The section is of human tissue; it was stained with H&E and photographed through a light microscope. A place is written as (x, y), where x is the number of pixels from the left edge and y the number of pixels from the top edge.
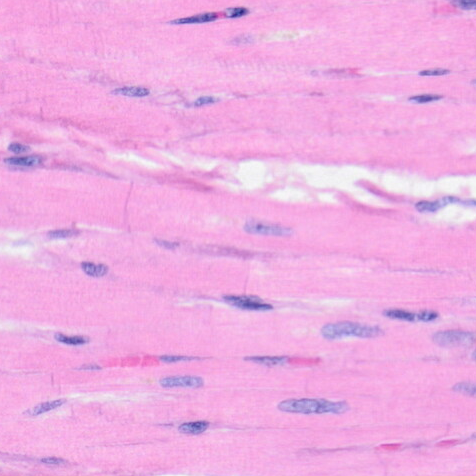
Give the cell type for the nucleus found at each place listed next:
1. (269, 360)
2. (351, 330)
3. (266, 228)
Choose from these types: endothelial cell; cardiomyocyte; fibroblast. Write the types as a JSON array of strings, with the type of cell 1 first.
["endothelial cell", "cardiomyocyte", "cardiomyocyte"]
